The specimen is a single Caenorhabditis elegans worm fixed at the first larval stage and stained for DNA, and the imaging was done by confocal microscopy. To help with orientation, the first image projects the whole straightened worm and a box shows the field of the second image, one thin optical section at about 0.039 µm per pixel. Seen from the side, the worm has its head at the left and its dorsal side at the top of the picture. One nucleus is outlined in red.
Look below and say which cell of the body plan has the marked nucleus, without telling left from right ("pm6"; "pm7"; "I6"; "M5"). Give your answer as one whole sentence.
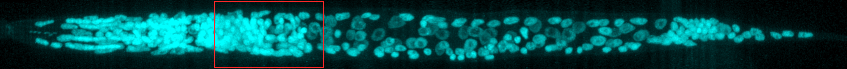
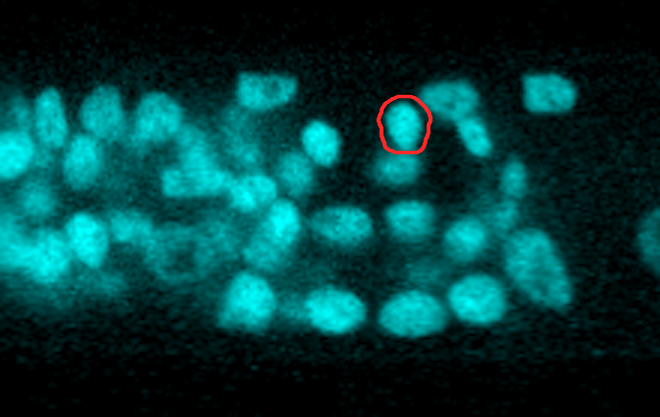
The cell whose nucleus is marked is M5, a neuron.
